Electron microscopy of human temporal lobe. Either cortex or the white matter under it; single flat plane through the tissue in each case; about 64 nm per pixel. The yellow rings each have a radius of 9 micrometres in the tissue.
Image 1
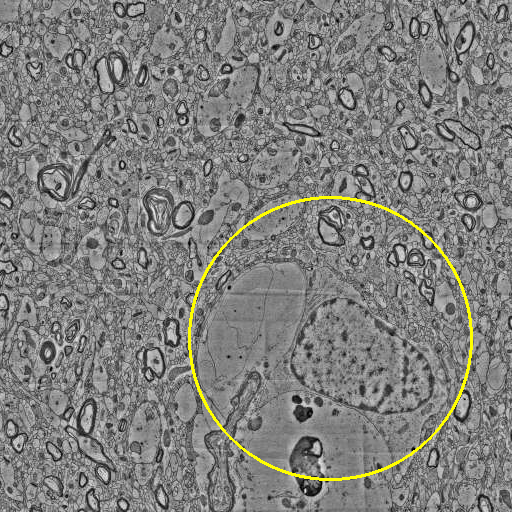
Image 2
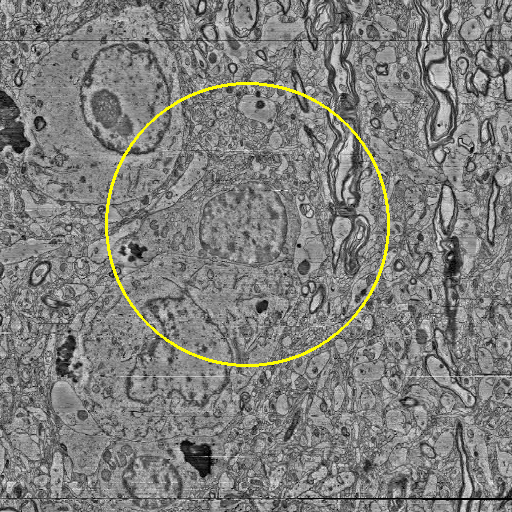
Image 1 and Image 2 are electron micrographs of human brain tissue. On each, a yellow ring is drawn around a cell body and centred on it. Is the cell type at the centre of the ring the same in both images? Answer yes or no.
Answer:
no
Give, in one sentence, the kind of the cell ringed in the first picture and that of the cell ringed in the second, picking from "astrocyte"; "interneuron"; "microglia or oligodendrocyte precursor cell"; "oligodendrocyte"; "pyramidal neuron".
For the first picture it is a microglial cell or oligodendrocyte precursor cell; for the second, an oligodendrocyte.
